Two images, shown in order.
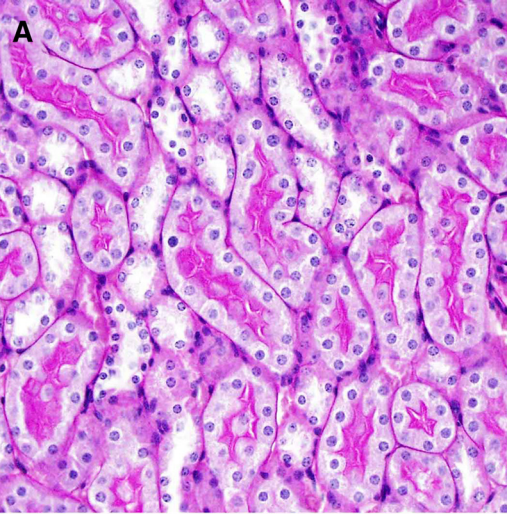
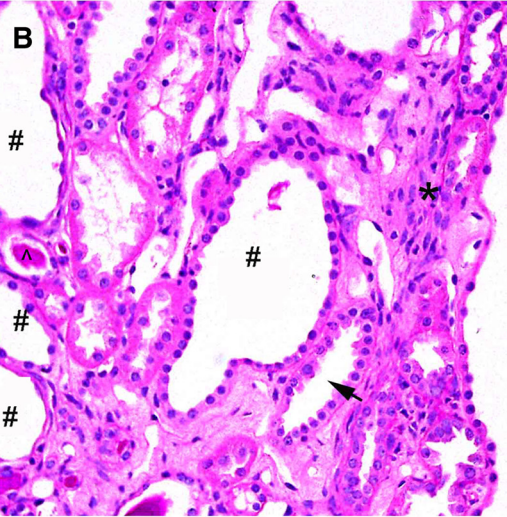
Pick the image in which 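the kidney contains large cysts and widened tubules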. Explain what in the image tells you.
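The second image. Second image: several large empty round spaces lined by thin epithelium lie among the tubules. First image: tubules are closely packed, of even size, with narrow lumens and no large spaces.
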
